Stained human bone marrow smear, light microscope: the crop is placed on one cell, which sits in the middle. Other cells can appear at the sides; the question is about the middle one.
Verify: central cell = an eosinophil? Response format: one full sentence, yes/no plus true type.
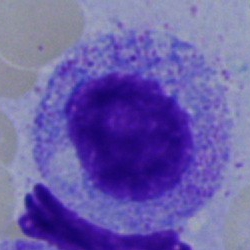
No, the cell found centrally in the crop is a myelocyte, not an eosinophil.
